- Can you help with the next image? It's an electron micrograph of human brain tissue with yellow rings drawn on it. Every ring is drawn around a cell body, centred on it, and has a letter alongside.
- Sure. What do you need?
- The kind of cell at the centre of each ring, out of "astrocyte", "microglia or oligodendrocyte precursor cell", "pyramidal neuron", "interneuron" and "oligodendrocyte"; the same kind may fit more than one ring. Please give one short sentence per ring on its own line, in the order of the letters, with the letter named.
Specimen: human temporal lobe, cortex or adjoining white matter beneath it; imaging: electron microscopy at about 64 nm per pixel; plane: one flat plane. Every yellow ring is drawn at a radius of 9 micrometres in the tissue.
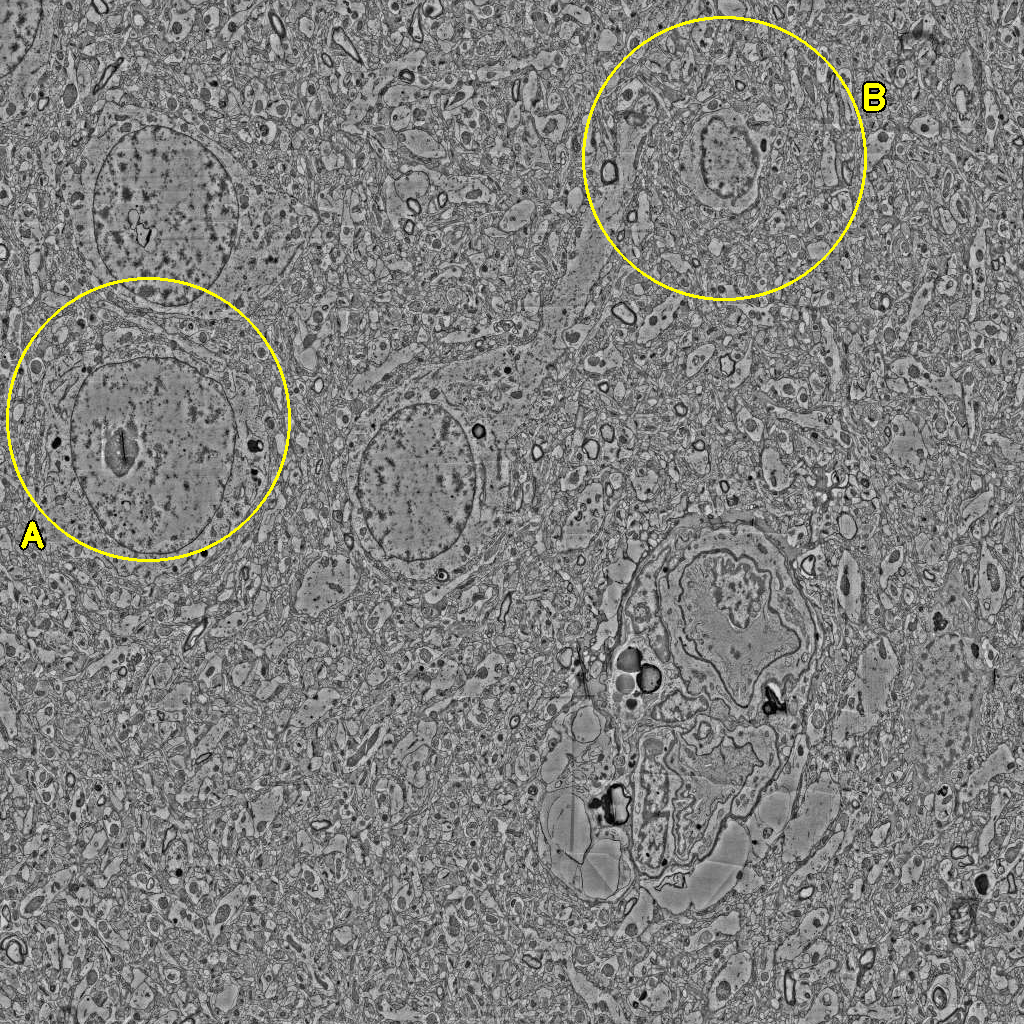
Ring A picks out a pyramidal neuron.
Ring B picks out a microglial cell or oligodendrocyte precursor cell.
